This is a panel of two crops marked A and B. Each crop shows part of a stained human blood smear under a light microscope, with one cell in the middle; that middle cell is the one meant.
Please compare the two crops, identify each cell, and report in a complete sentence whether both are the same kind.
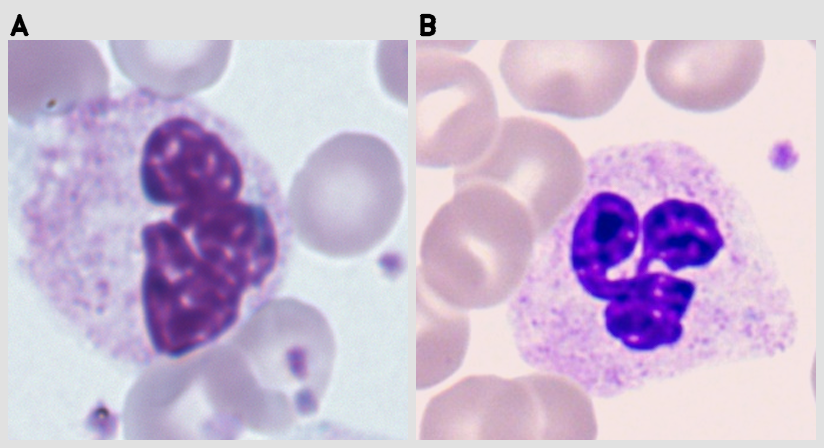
Yes, the cells that the two crops centre on are segmented neutrophils.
